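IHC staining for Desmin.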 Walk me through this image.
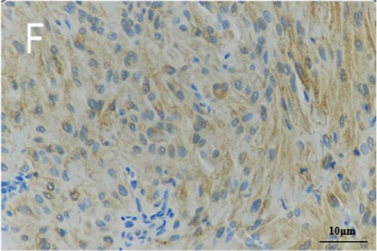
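Spindle-cell tissue of smooth muscle-like cells in which the cytoplasm of most cells takes up a diffuse light-to-moderate brown stain, while the oval nuclei are counterstained blue. The cells are elongated and lie in streaming, interlacing fascicles, and the brown cytoplasm forms long fibrillar strands running between the nuclei. At the left margin a few cells with small dark blue nuclei and little brown stain lie among the spindle cells.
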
